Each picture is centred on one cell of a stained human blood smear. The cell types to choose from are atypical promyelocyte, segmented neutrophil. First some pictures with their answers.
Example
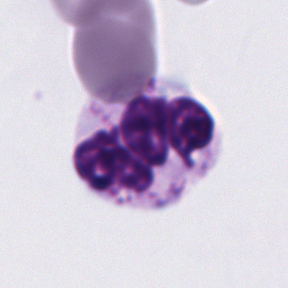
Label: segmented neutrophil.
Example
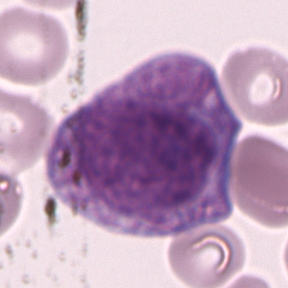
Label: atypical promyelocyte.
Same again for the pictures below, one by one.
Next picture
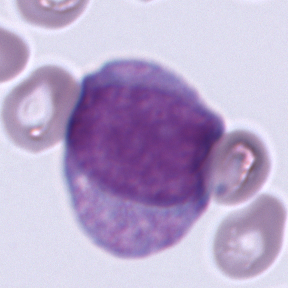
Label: atypical promyelocyte.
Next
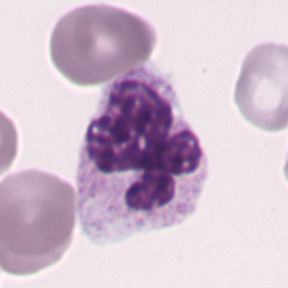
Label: segmented neutrophil.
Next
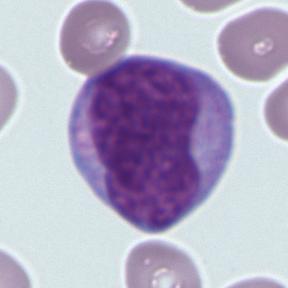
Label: atypical promyelocyte.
